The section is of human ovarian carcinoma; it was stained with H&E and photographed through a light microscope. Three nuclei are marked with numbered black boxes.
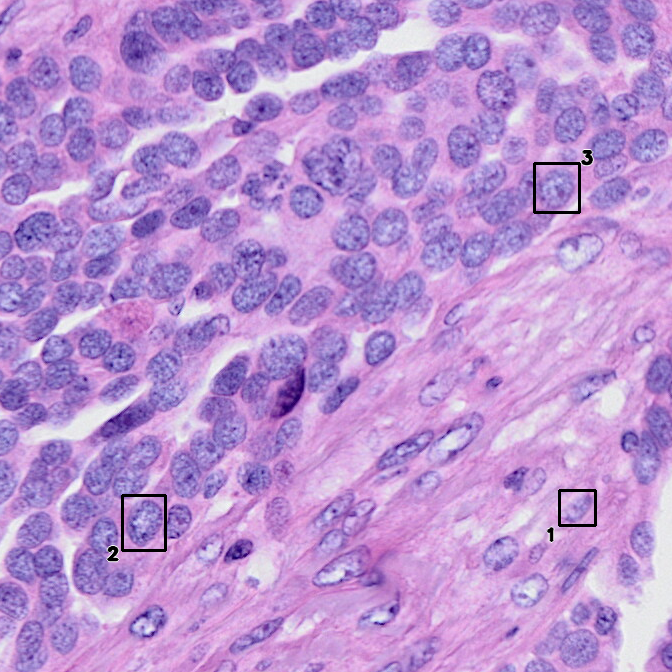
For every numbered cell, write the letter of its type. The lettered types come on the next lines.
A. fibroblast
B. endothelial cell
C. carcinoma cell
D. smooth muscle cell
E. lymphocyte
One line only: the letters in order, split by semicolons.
A; C; C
